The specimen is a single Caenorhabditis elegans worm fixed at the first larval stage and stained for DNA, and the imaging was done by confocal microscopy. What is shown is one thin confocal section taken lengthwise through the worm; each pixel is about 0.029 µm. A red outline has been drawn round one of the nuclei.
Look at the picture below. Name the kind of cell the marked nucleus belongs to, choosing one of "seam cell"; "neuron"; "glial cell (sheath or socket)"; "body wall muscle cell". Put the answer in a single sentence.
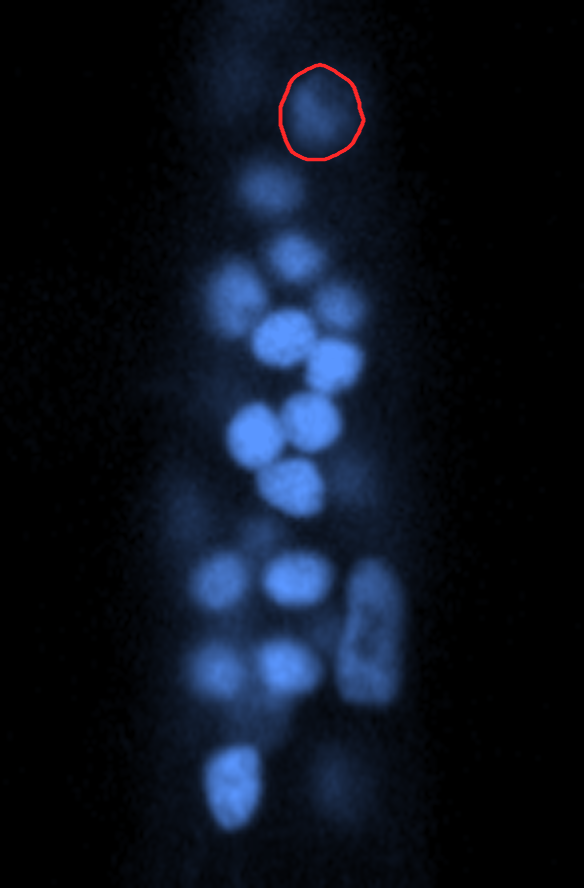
It belongs to a seam cell.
